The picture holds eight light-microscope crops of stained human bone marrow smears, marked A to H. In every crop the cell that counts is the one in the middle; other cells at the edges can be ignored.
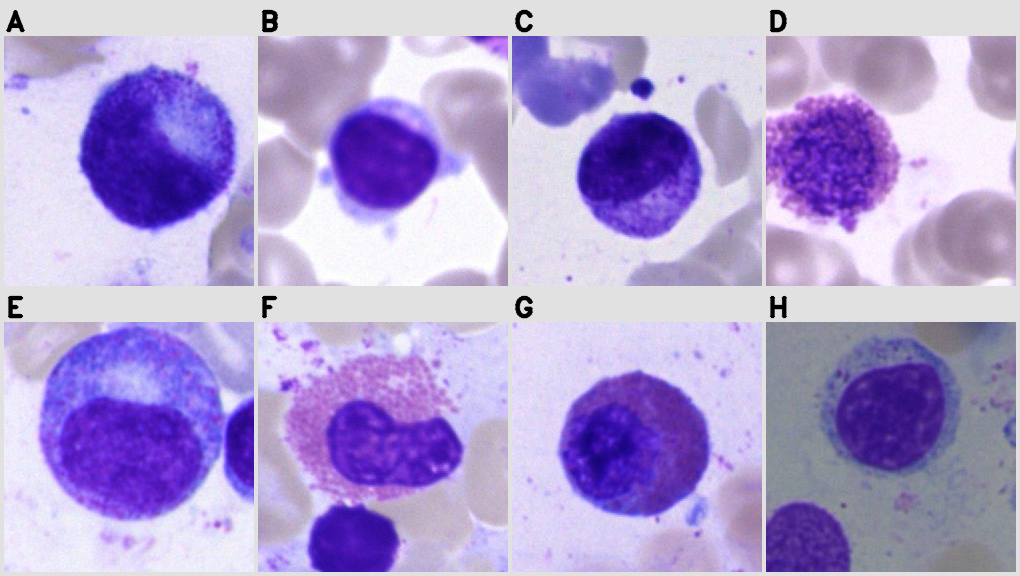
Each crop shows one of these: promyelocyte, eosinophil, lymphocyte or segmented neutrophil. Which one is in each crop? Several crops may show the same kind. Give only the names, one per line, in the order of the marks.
promyelocyte
lymphocyte
promyelocyte
eosinophil
promyelocyte
eosinophil
eosinophil
lymphocyte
